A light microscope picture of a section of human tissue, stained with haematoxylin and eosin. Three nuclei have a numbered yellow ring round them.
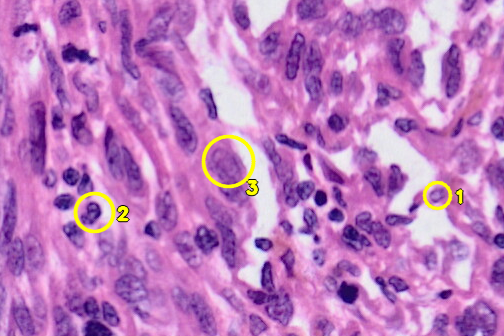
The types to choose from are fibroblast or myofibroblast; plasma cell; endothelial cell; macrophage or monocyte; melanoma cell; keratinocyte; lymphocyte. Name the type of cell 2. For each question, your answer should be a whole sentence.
Nucleus 2 in this section belongs to a lymphocyte.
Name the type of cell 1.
The cell with the number 1 is a macrophage or monocyte.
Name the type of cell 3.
That cell with number 3 is a melanoma cell.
